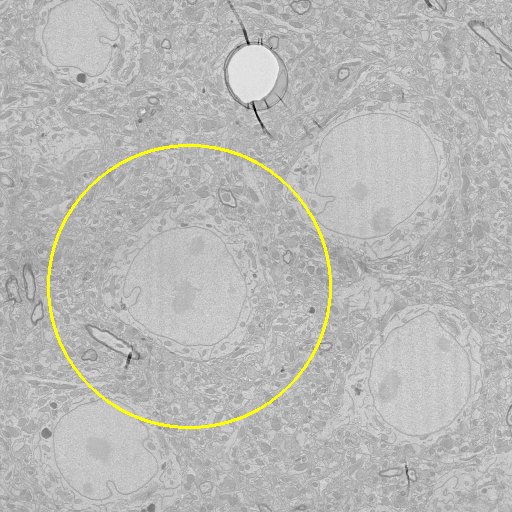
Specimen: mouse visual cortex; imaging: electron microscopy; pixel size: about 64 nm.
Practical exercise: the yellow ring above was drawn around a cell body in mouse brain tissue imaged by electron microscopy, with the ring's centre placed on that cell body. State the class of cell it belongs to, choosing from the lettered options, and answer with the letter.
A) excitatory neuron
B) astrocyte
A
